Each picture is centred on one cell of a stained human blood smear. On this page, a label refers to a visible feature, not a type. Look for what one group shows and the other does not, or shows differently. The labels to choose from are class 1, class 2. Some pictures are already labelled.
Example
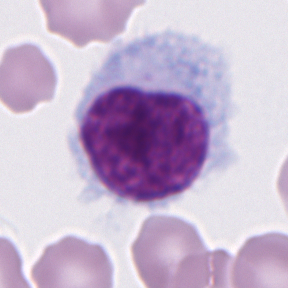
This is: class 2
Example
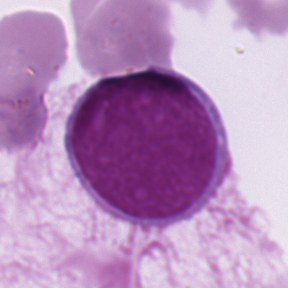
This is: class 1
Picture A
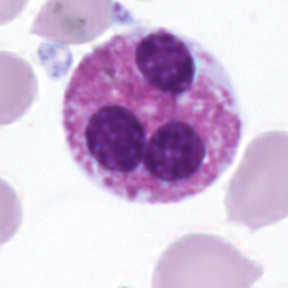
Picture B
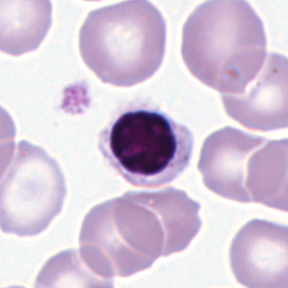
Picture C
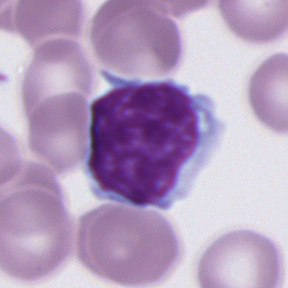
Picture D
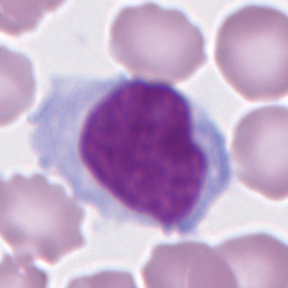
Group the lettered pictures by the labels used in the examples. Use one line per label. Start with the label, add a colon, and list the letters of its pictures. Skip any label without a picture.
class 1: B, C
class 2: A, D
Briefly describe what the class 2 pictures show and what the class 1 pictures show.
In class 2: abundant cytoplasm. In class 1: scant cytoplasm.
